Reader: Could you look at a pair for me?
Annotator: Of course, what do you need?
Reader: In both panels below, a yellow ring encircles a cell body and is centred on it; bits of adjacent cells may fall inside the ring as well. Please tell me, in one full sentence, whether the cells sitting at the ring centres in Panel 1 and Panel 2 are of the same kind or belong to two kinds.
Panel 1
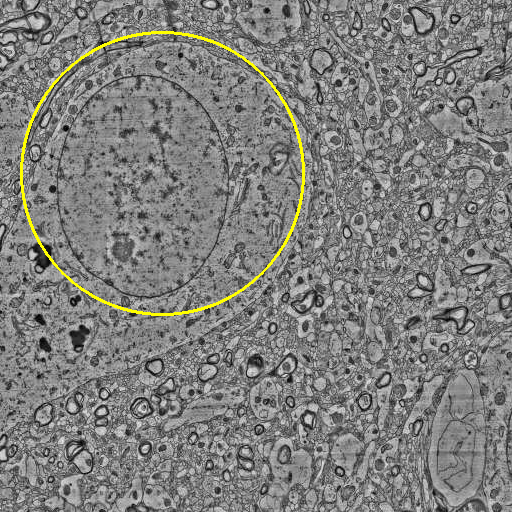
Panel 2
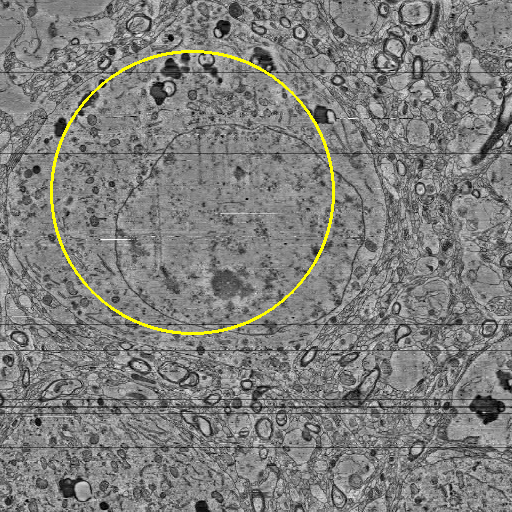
The cell at the ring's centre in Panel 1 and the one in Panel 2 are of the same kind.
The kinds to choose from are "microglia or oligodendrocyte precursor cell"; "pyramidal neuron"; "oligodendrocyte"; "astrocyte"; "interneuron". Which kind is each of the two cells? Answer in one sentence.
The cell at the ring centre is a pyramidal neuron in both pictures.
